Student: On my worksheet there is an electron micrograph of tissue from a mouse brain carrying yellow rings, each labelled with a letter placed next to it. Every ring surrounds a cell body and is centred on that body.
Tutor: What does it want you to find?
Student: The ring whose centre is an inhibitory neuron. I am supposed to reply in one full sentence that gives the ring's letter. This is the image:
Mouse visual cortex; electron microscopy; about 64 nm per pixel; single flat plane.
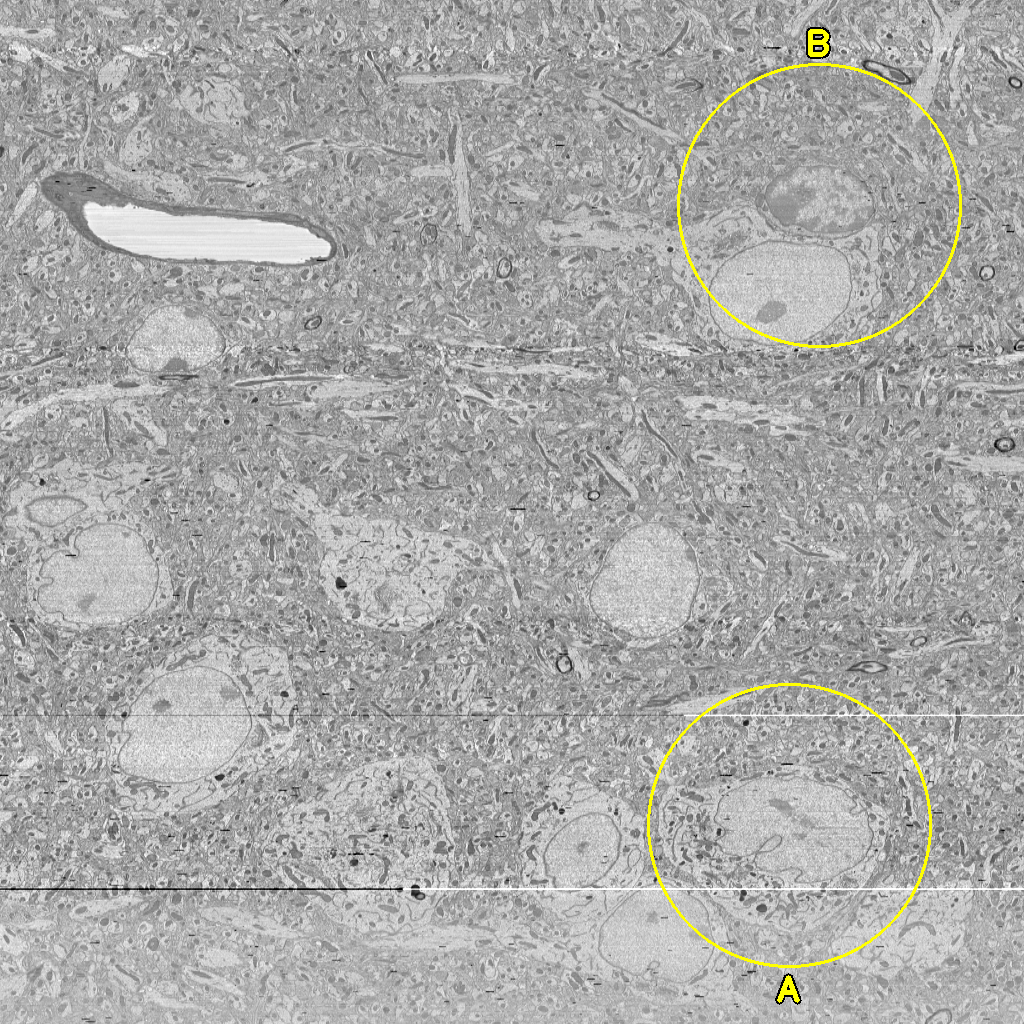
The cell asked for, shown in the picture, lies at the centre of ring A.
